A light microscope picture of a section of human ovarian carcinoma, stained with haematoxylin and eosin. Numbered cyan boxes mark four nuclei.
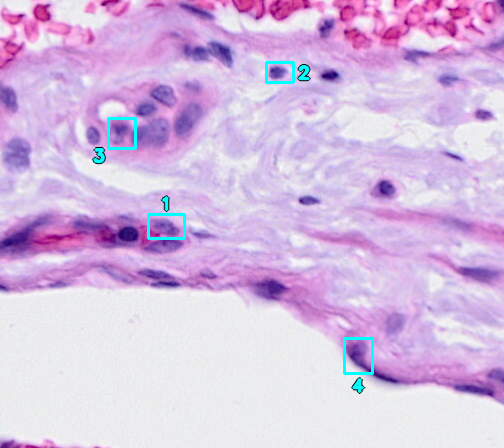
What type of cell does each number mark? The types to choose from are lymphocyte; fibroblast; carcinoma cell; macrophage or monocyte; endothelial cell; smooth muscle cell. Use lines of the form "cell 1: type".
cell 1: endothelial cell
cell 2: lymphocyte
cell 3: endothelial cell
cell 4: endothelial cell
